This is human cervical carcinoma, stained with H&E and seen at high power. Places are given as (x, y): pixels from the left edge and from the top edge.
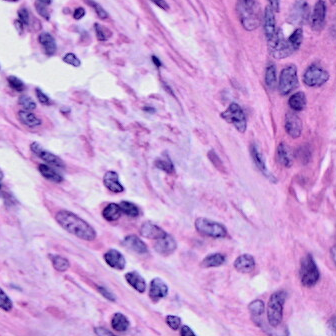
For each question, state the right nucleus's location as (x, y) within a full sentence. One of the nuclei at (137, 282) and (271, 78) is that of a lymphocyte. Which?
Of the two nuclei, the nucleus belonging to a lymphocyte is located at (137, 282).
